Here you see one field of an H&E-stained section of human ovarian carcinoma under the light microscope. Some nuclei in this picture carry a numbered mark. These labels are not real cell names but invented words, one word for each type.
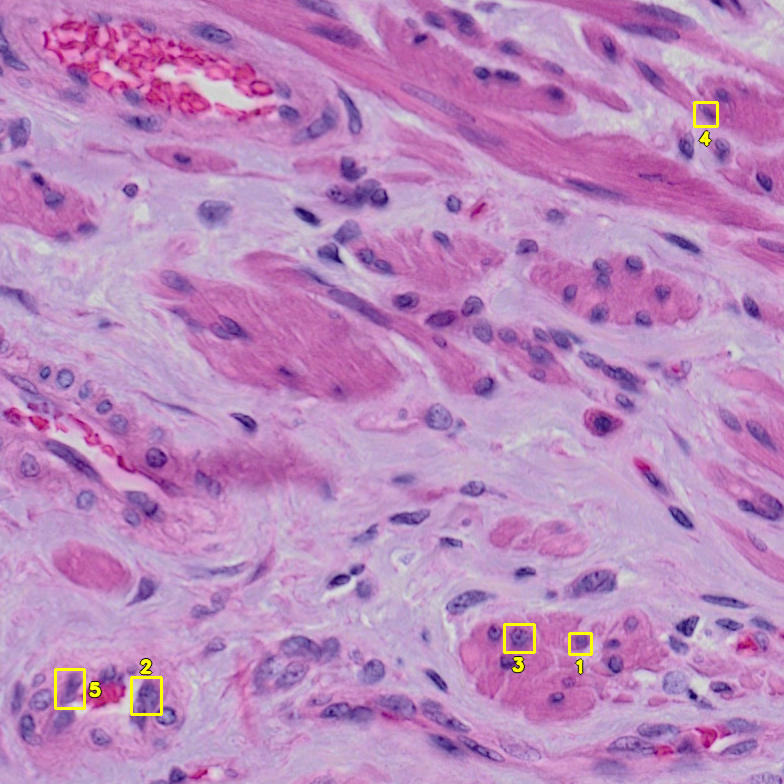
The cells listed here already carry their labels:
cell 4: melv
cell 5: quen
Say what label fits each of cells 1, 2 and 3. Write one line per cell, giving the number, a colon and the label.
1: melv
2: quen
3: melv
